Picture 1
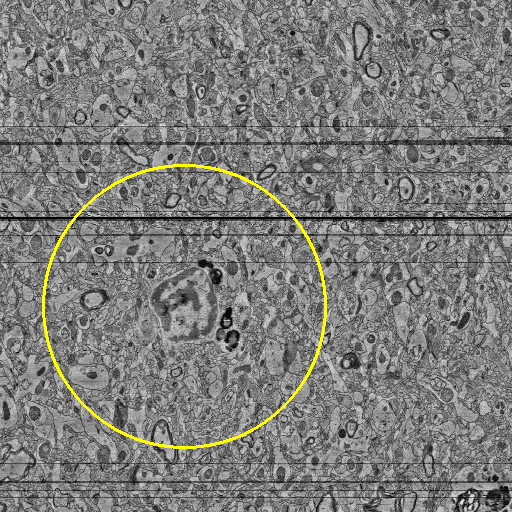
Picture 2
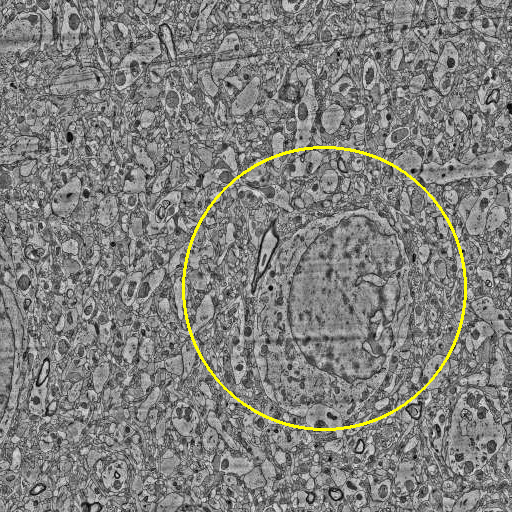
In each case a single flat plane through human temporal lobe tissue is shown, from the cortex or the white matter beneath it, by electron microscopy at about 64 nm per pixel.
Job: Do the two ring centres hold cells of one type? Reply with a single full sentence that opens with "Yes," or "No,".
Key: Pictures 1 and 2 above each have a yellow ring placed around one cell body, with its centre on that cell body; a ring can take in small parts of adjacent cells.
No, the cells at the two ring centres are of two separate types.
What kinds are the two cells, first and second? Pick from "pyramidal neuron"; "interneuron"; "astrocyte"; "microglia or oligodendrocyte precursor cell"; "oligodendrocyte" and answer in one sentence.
The second picture holds an interneuron in its ring, and the first holds a microglial cell or oligodendrocyte precursor cell.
